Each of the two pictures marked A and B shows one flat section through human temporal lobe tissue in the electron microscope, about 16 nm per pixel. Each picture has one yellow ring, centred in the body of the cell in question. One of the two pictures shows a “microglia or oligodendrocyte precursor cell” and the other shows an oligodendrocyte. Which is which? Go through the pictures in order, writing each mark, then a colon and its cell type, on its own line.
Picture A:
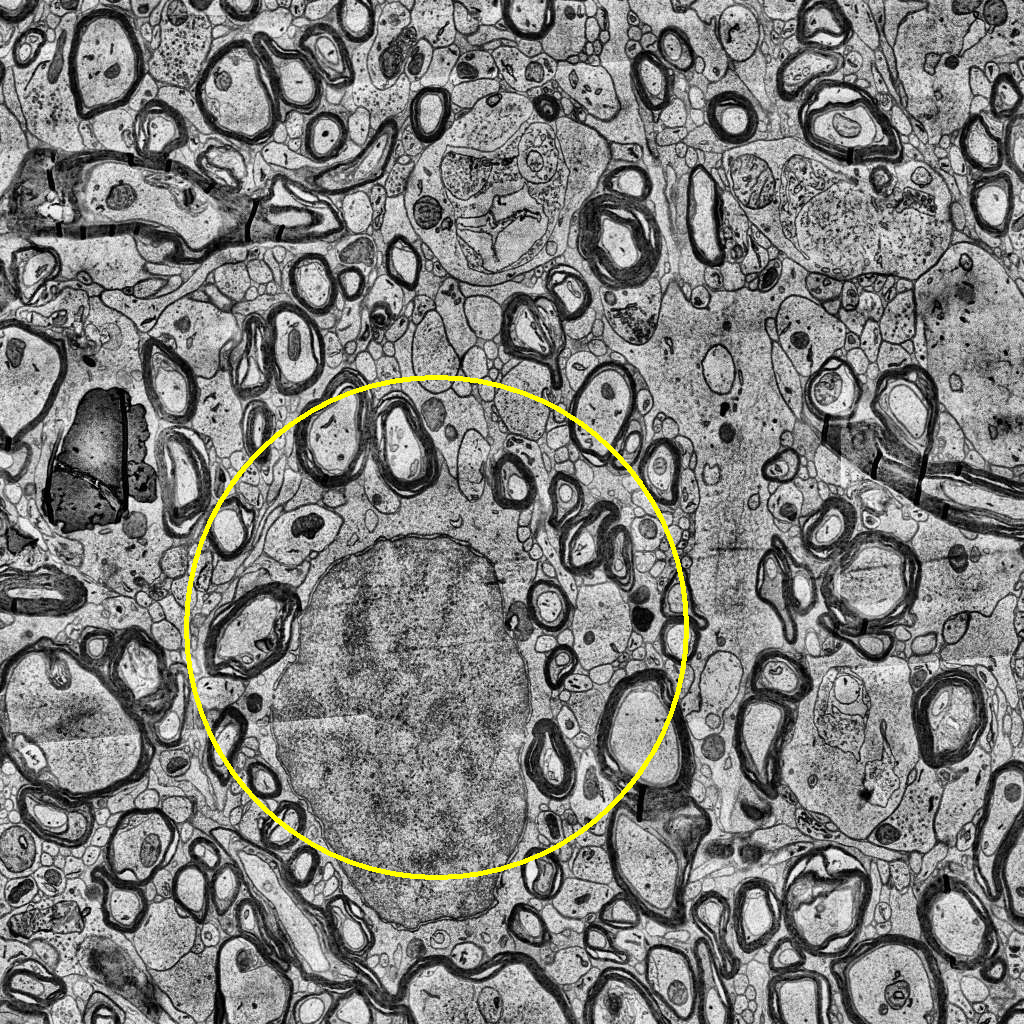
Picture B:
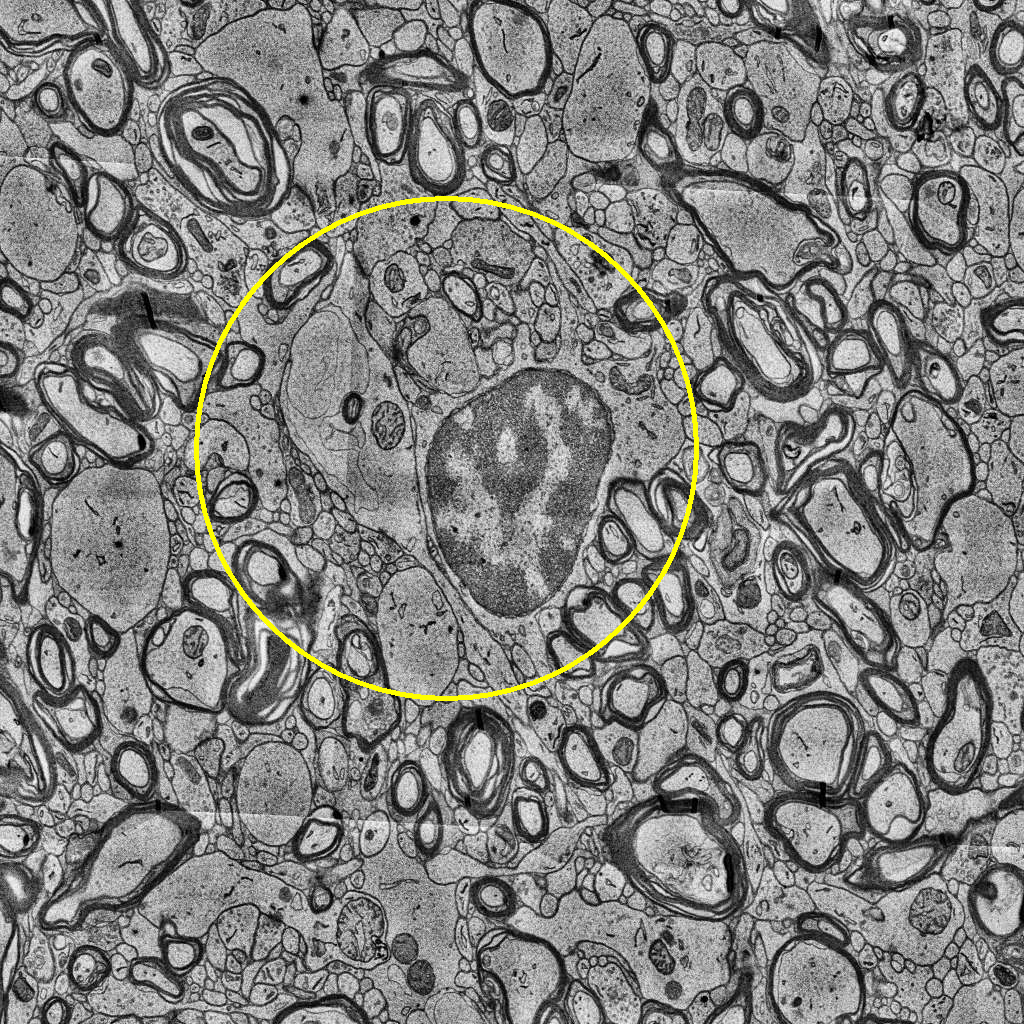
A: oligodendrocyte
B: microglia or oligodendrocyte precursor cell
